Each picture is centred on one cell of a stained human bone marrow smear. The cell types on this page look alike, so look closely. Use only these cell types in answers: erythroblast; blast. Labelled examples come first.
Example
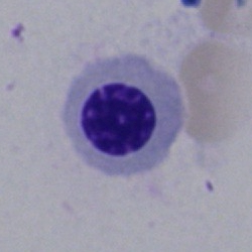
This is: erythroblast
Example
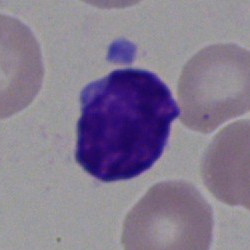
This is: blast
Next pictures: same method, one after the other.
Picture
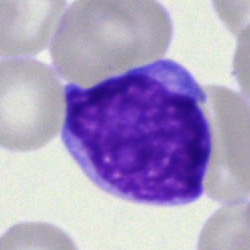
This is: blast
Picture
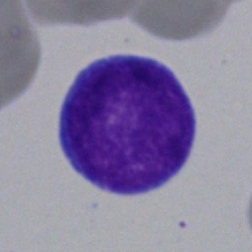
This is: blast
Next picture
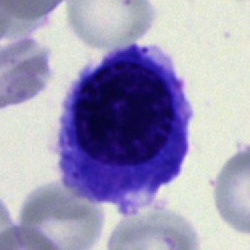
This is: erythroblast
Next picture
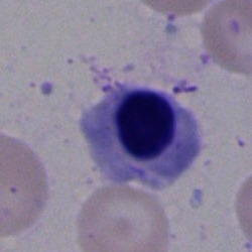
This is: erythroblast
